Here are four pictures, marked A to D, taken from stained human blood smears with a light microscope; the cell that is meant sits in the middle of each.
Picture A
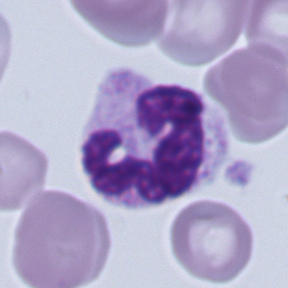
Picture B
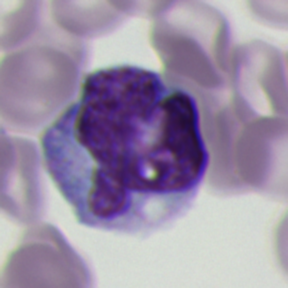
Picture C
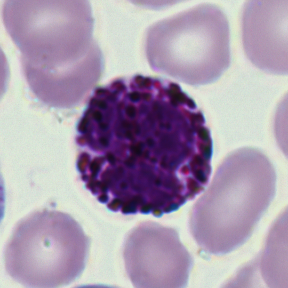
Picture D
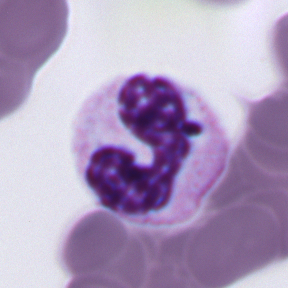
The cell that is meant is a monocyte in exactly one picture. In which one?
B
